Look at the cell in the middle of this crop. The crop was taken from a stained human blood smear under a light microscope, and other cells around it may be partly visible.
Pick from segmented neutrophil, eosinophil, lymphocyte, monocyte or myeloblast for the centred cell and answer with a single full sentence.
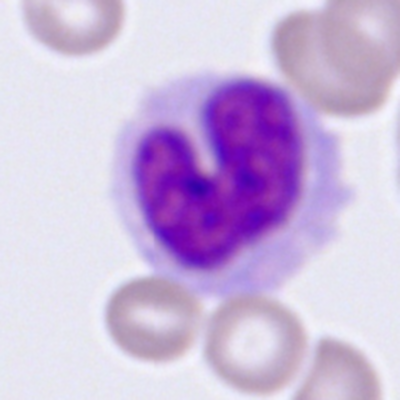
Where the crop is centred, there is a monocyte.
